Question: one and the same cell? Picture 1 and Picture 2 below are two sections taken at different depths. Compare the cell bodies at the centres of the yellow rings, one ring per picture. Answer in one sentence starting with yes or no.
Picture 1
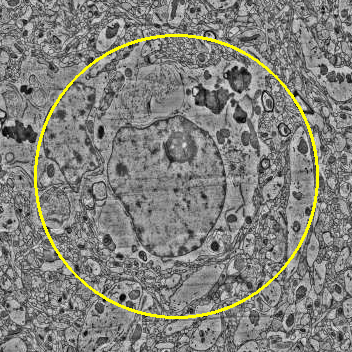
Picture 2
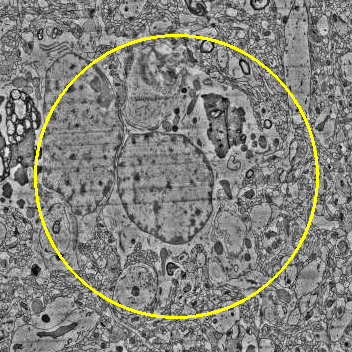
Yes, the cell marked in each ring is one and the same.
